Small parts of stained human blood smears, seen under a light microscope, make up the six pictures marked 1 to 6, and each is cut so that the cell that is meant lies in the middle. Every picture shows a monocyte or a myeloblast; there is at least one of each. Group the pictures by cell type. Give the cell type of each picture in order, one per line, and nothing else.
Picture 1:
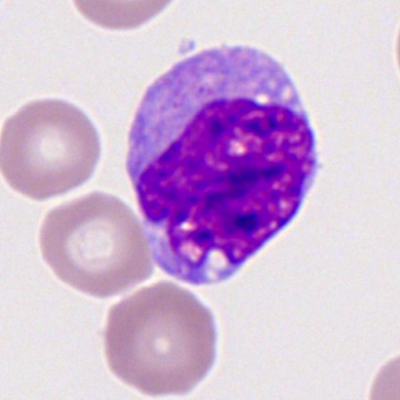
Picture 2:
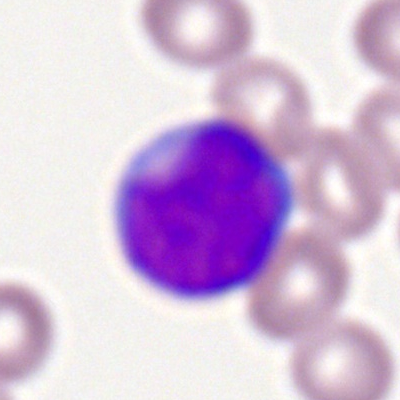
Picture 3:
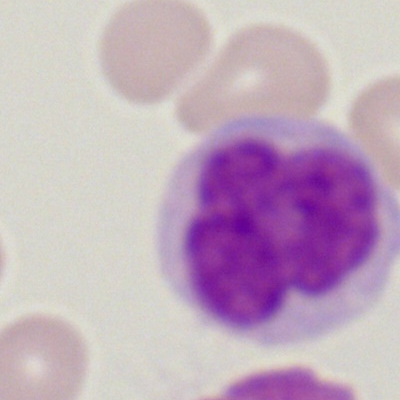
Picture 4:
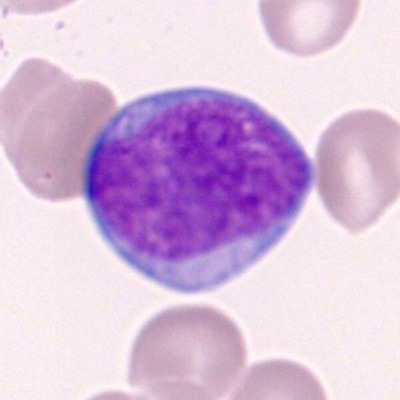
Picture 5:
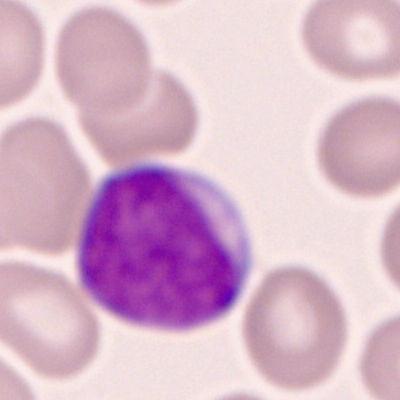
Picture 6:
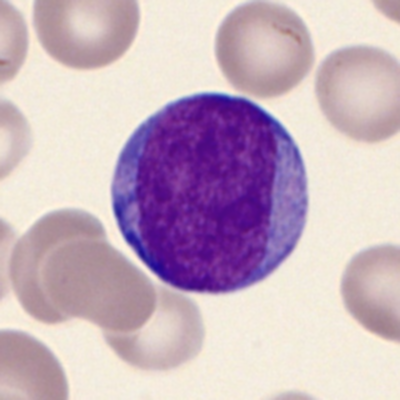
monocyte
myeloblast
monocyte
myeloblast
myeloblast
myeloblast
